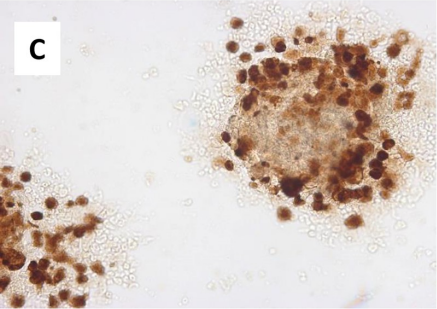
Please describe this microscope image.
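Two cell masses in culture, each made of numerous rounded cells, many of them stained dark brown and concentrated toward the rim of the mass. Paler, unstained small cells lie loosely around and between the masses.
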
